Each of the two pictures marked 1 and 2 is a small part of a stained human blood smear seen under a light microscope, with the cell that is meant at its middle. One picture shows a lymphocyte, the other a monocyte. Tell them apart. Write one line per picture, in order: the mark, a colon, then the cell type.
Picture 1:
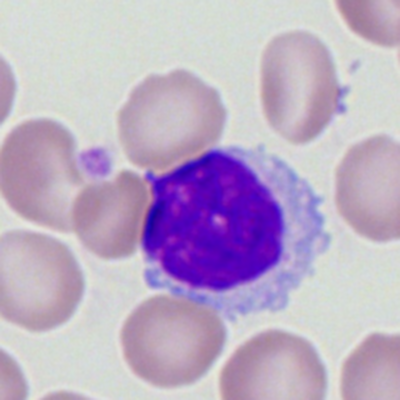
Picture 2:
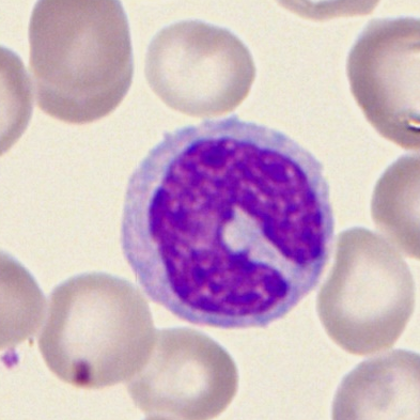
1: lymphocyte
2: monocyte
